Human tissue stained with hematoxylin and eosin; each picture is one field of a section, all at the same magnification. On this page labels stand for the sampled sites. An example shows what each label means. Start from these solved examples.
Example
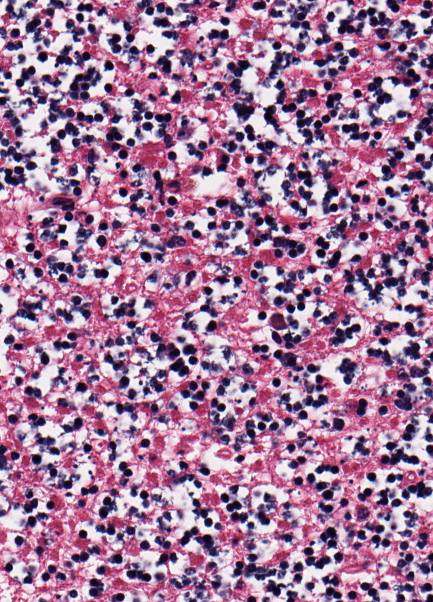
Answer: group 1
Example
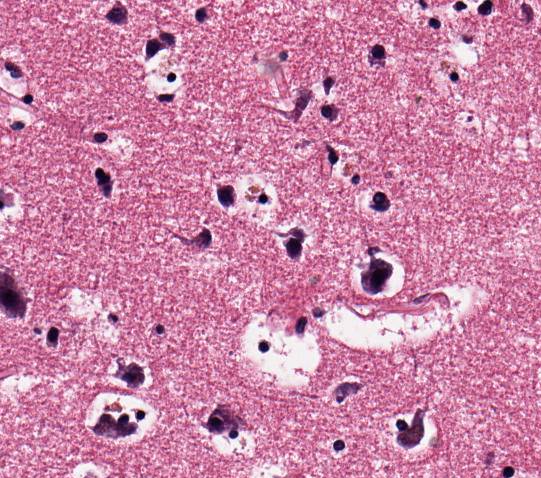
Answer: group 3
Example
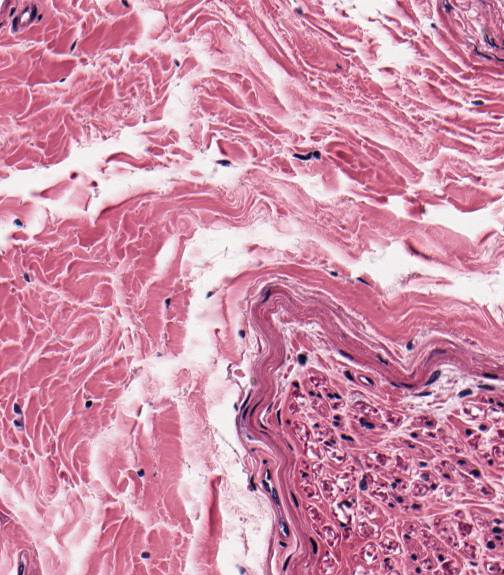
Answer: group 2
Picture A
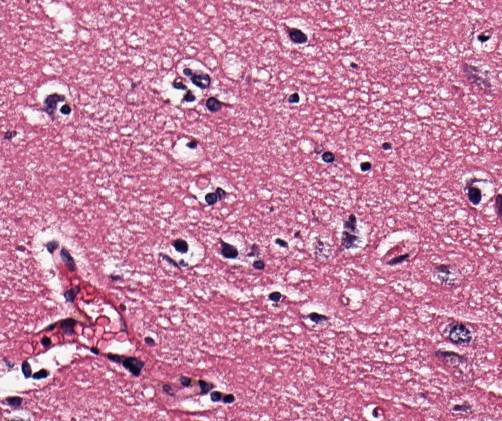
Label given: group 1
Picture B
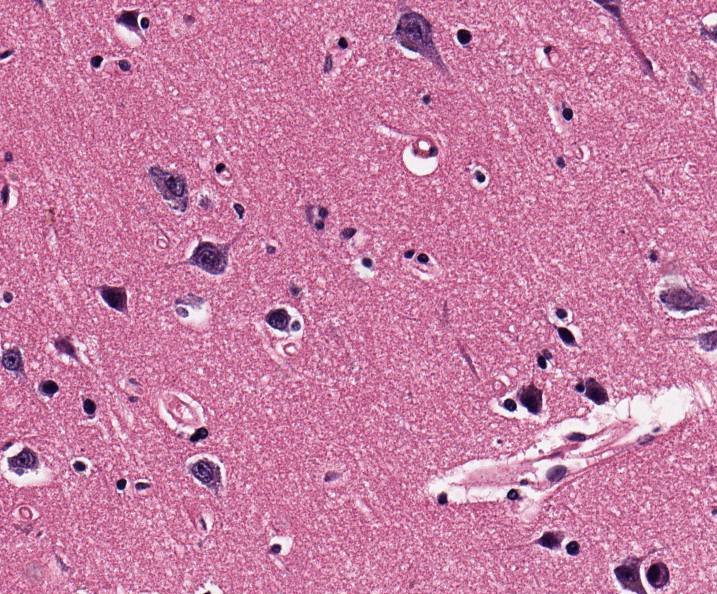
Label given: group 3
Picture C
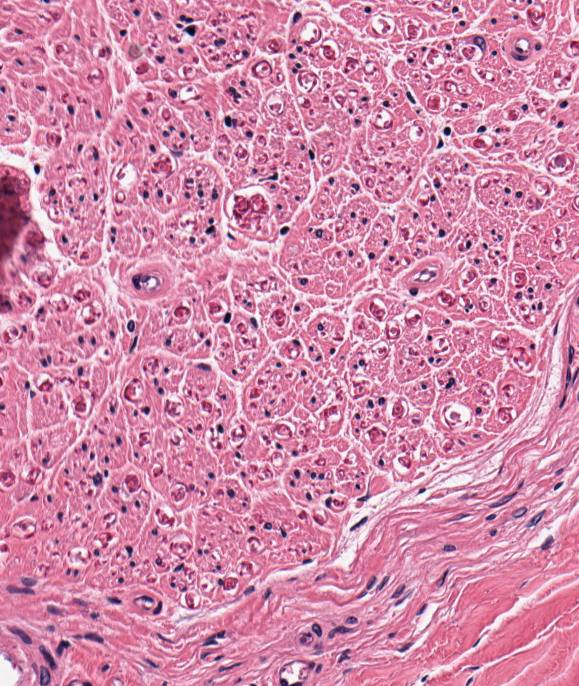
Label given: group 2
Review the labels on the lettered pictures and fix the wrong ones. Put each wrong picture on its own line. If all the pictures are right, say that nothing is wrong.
A: group 3, not group 1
